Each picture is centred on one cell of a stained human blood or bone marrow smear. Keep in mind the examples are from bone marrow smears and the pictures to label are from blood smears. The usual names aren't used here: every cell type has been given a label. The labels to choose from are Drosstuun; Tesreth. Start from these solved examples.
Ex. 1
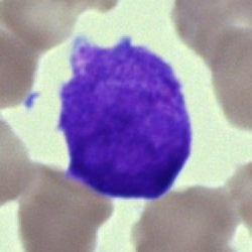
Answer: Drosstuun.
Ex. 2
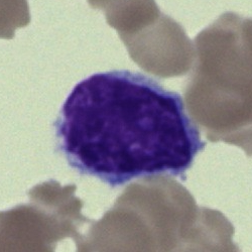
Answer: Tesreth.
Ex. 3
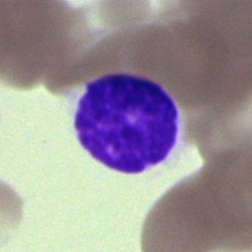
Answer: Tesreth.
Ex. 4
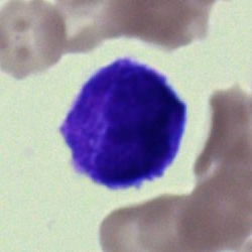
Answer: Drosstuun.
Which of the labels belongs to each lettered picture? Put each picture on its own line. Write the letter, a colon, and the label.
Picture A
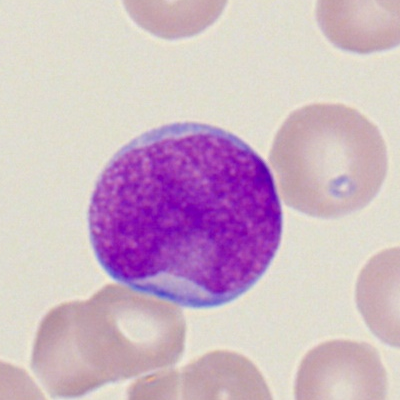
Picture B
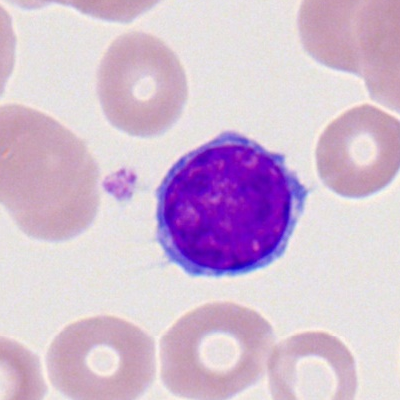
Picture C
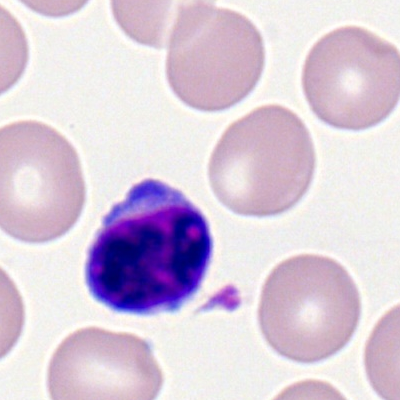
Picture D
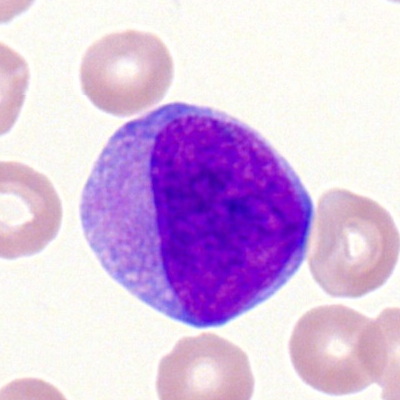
A: Drosstuun.
B: Tesreth.
C: Tesreth.
D: Drosstuun.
